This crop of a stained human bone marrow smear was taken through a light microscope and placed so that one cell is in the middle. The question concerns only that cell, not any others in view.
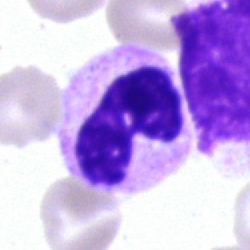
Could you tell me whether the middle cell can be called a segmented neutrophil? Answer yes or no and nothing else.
yes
